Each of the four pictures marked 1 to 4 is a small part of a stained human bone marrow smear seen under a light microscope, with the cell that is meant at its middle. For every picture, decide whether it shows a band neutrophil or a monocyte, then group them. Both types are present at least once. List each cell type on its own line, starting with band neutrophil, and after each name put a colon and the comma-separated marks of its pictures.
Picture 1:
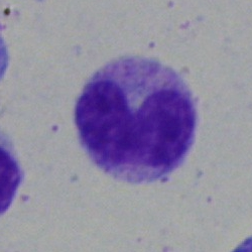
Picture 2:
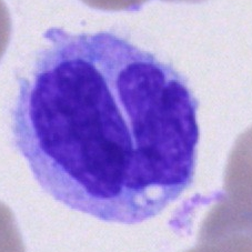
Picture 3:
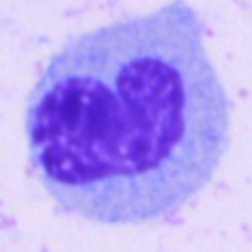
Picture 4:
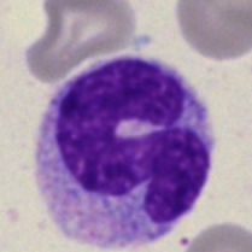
band neutrophil: 1
monocyte: 2, 3, 4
